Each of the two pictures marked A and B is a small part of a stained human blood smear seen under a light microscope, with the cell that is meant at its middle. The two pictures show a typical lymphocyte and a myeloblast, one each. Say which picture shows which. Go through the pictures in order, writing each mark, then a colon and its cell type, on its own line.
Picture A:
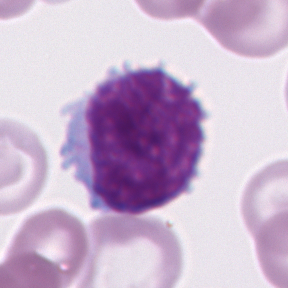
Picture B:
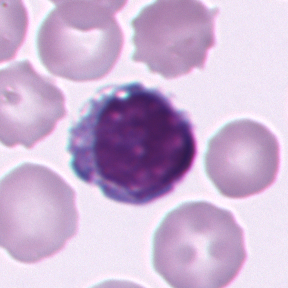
A: myeloblast
B: typical lymphocyte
